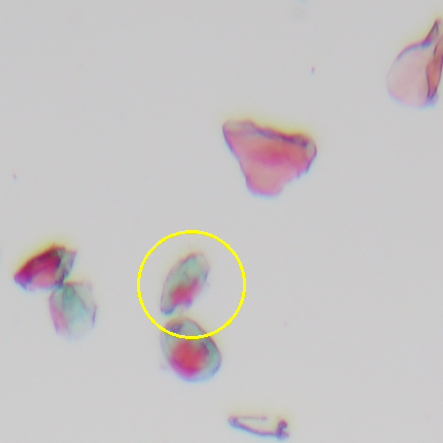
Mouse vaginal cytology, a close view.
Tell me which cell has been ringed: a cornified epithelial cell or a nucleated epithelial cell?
It is a nucleated epithelial cell.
